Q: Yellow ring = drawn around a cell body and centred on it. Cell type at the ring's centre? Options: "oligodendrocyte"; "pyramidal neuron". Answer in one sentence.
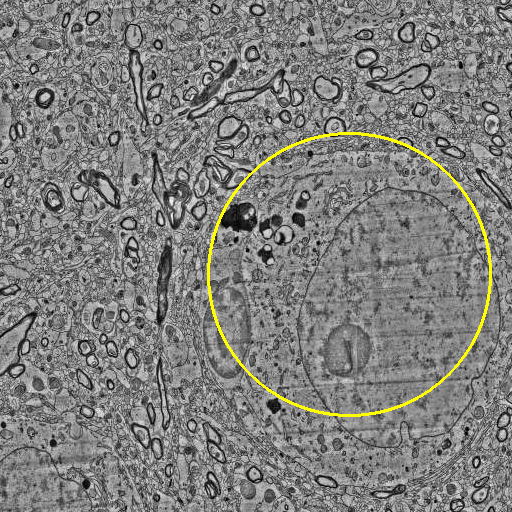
Centred in the ring is a pyramidal neuron.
